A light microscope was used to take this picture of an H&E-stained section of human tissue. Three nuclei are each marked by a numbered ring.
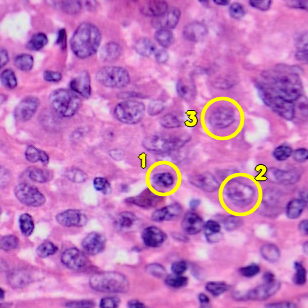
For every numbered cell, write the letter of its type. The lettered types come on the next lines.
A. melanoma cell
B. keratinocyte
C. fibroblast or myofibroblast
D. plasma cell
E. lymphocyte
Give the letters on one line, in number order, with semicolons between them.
E; A; A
